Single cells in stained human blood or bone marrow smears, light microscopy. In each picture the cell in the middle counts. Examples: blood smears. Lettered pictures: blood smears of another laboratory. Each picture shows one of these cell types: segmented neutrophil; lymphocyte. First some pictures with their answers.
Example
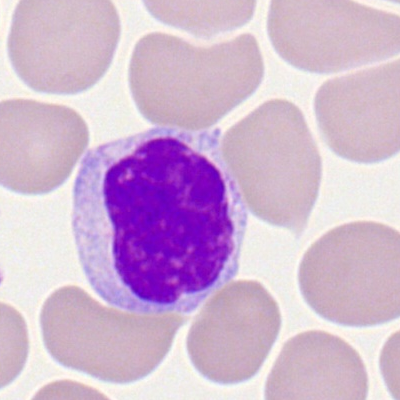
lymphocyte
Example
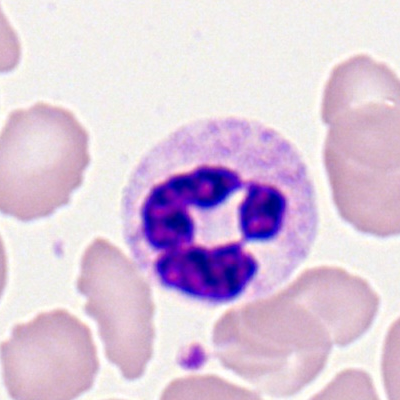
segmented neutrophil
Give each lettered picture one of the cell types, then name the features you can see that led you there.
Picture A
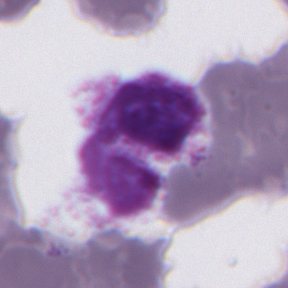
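segmented neutrophil: The nucleus has two lobes, one above the other.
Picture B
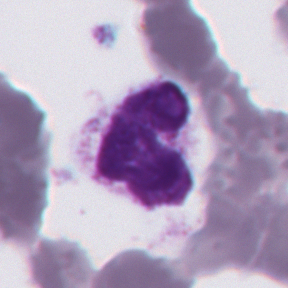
segmented neutrophil: The cytoplasm is very pale, almost colourless.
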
